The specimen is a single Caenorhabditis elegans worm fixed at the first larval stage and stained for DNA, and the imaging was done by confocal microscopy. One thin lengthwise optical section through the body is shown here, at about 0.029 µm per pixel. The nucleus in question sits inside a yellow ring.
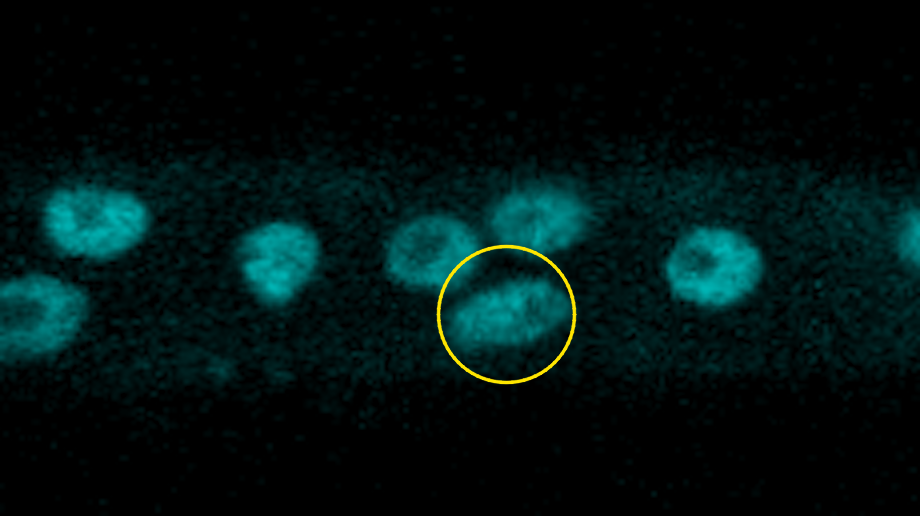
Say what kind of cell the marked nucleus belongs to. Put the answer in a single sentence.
This nucleus is from a hypodermal cell (hyp).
